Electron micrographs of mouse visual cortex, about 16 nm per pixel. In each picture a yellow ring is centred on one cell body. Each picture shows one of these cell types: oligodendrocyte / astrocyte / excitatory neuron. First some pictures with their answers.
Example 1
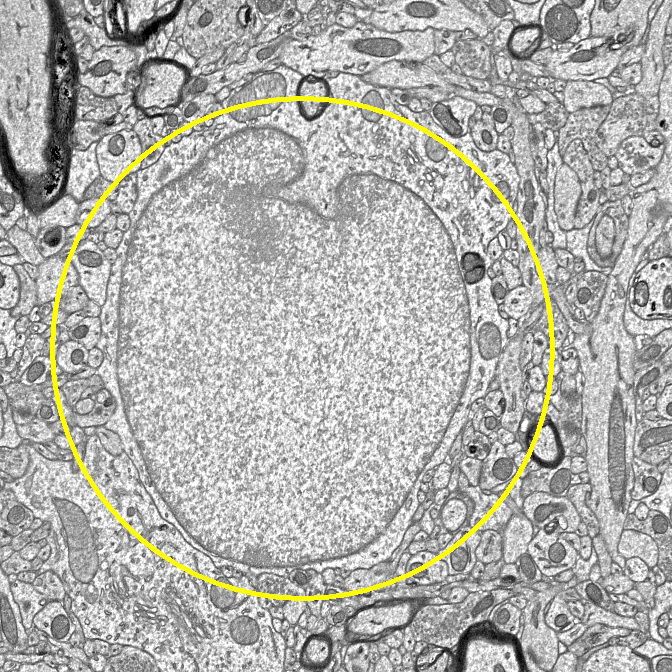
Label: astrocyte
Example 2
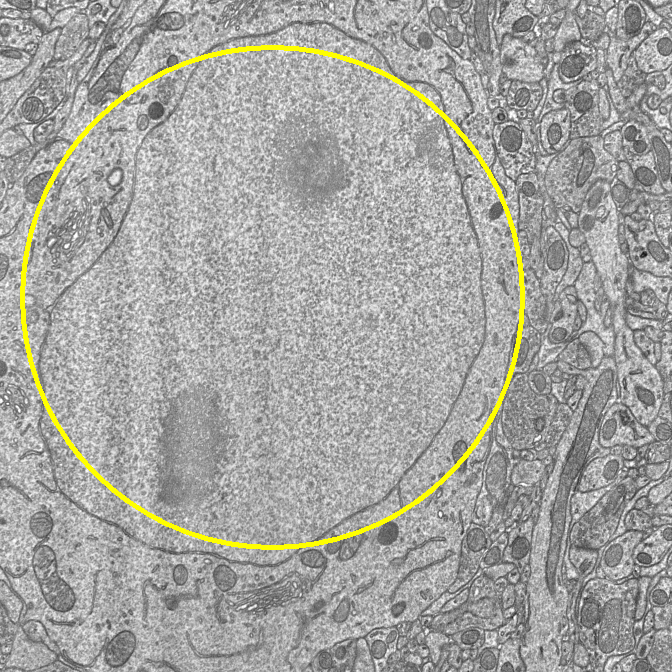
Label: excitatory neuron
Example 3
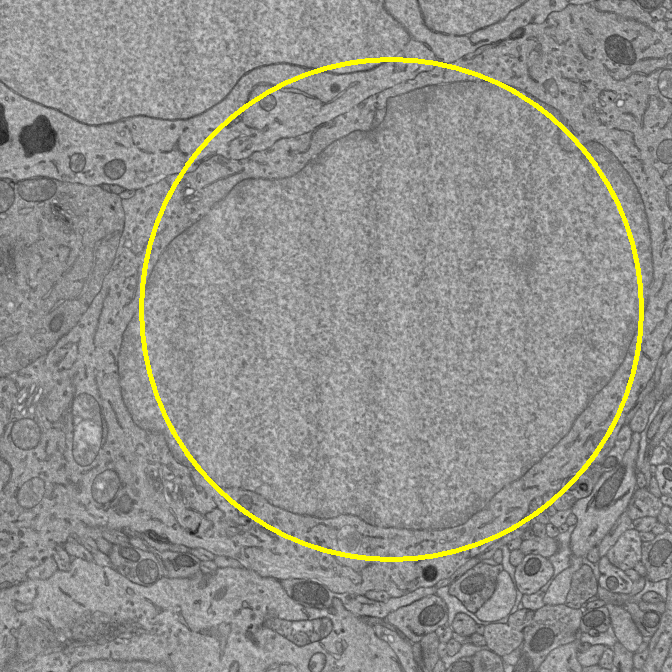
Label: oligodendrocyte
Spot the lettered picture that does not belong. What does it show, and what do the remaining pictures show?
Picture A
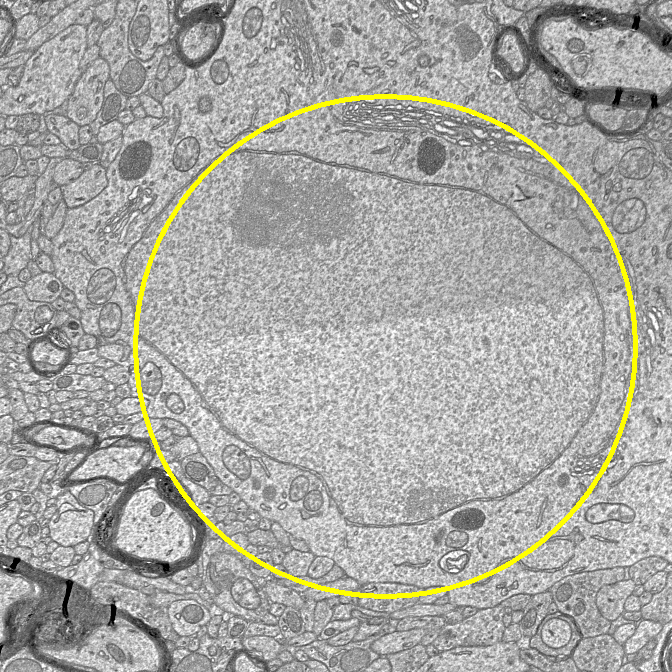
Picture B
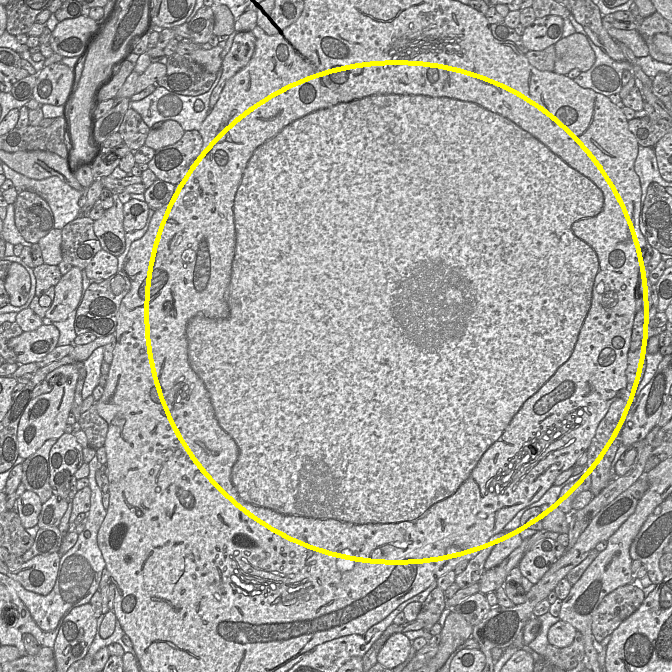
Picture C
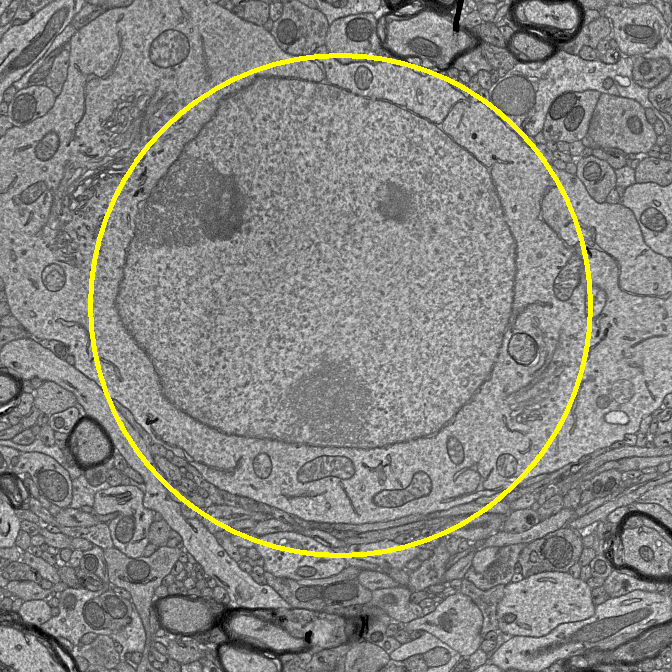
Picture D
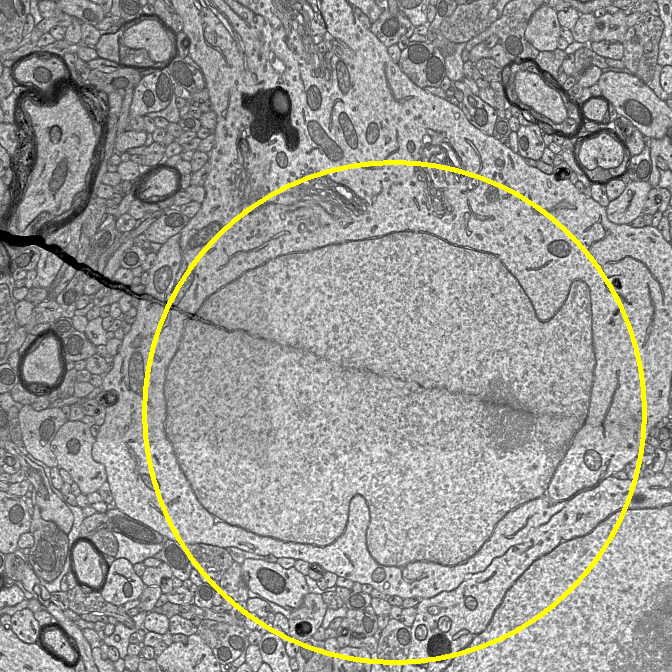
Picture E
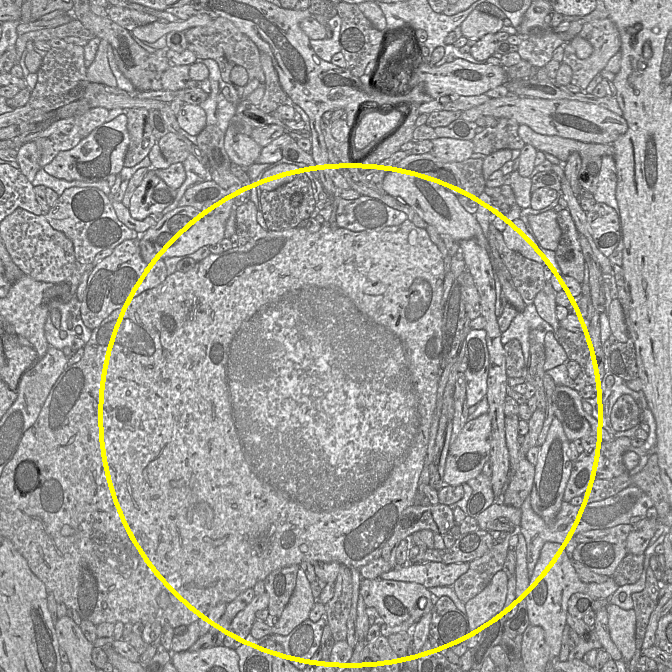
Exception: E, showing oligodendrocyte. Remaining pictures: excitatory neuron.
